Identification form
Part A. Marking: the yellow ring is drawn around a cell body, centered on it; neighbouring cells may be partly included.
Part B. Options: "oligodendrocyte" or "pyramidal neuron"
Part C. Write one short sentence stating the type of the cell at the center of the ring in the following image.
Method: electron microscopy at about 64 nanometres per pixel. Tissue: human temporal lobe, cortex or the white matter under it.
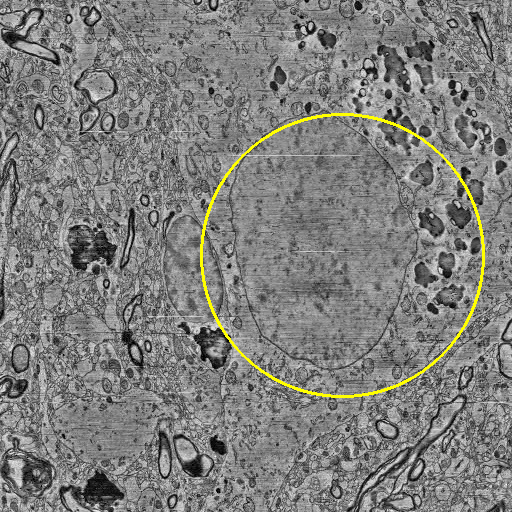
The center of the ring holds a pyramidal neuron.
